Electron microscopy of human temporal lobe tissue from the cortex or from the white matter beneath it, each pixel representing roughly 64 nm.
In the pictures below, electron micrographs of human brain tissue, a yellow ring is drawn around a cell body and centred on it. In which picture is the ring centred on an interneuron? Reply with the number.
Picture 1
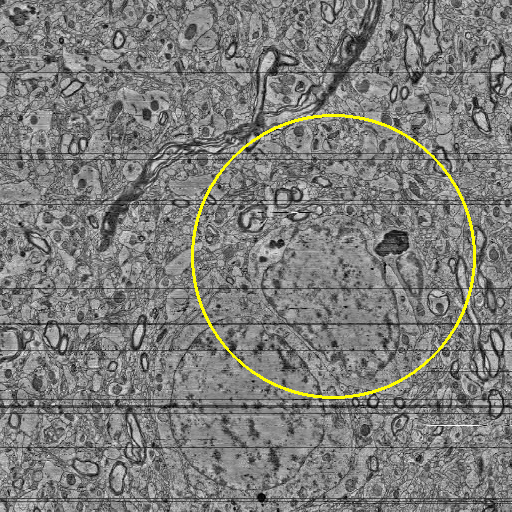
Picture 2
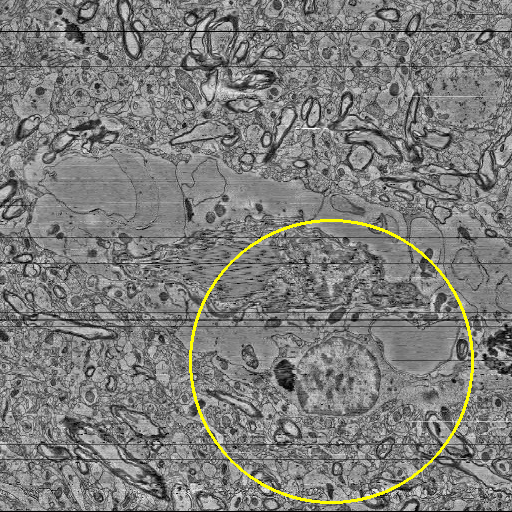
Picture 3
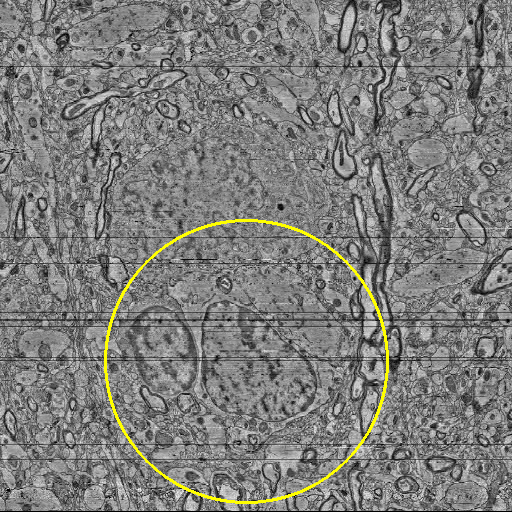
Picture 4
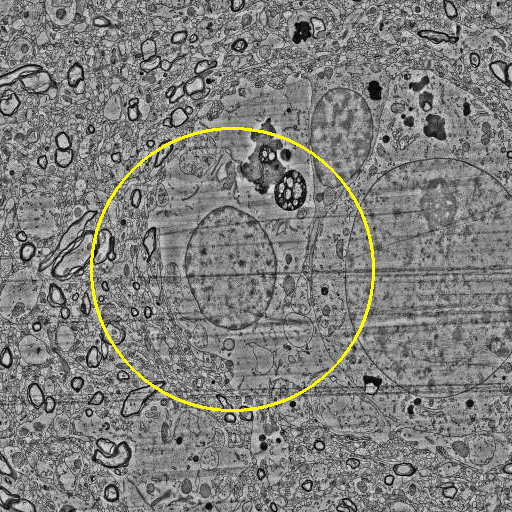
1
